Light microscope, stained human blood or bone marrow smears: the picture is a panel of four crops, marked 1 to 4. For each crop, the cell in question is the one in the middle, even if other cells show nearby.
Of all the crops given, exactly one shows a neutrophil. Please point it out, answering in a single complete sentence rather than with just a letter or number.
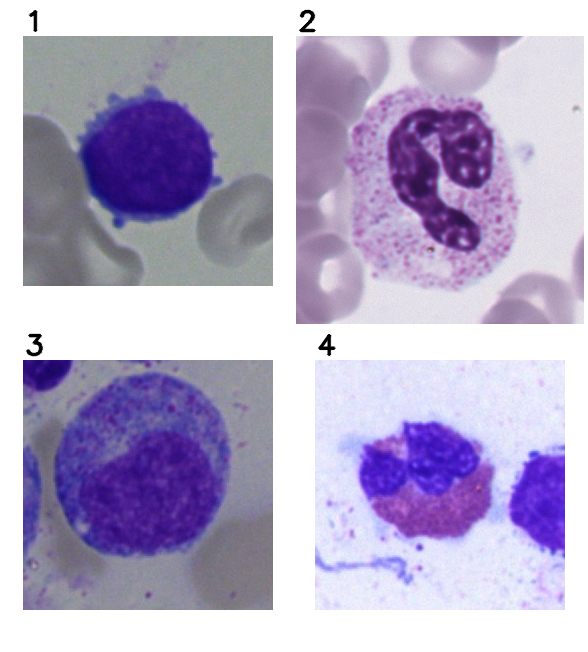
The crop with a neutrophil in it is crop 2.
